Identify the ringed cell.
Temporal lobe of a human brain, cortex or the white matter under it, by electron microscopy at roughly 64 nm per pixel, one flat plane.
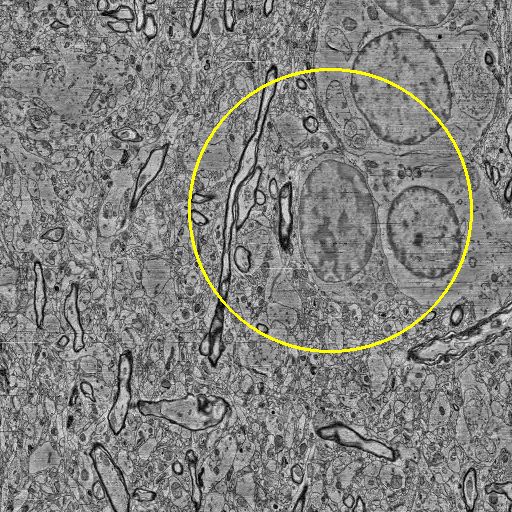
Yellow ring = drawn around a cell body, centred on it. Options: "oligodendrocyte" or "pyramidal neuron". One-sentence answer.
What the ring is centred on is an oligodendrocyte.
